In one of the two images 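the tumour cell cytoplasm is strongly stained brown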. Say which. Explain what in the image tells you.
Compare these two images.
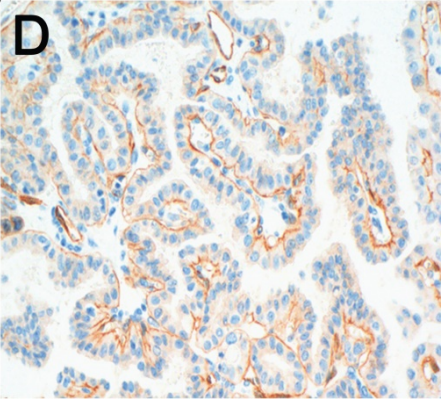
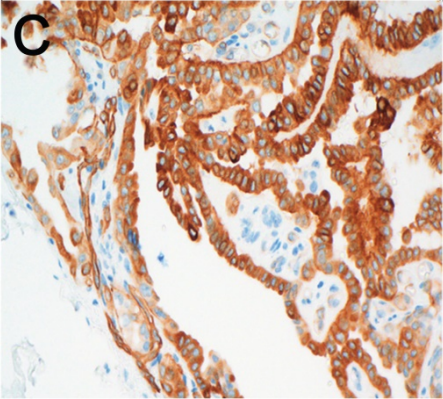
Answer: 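First image: brown stain is confined to thin lines at the cell bases, cytoplasm largely unstained. Second image: cytoplasm of the lining cells is diffusely deep brown. On this evidence: the second image.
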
